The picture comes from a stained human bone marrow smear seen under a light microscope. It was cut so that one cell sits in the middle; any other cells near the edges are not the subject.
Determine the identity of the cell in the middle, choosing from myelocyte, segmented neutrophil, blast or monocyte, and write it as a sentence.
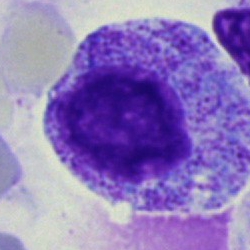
In this crop, the cell at the very middle is a myelocyte.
